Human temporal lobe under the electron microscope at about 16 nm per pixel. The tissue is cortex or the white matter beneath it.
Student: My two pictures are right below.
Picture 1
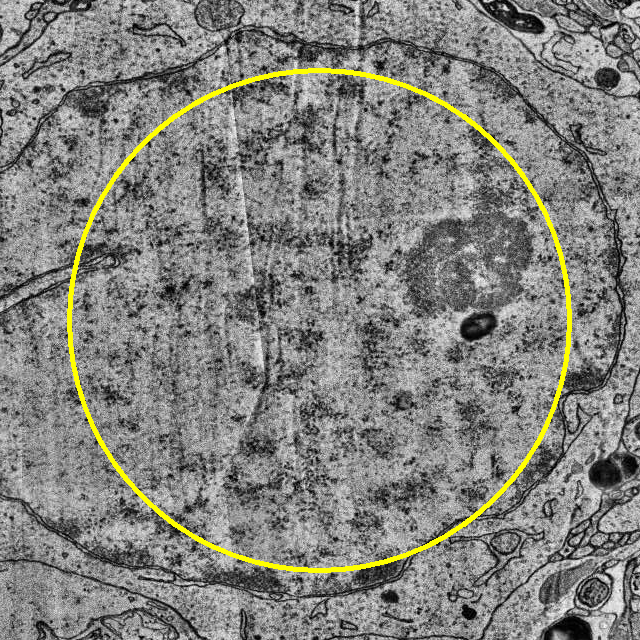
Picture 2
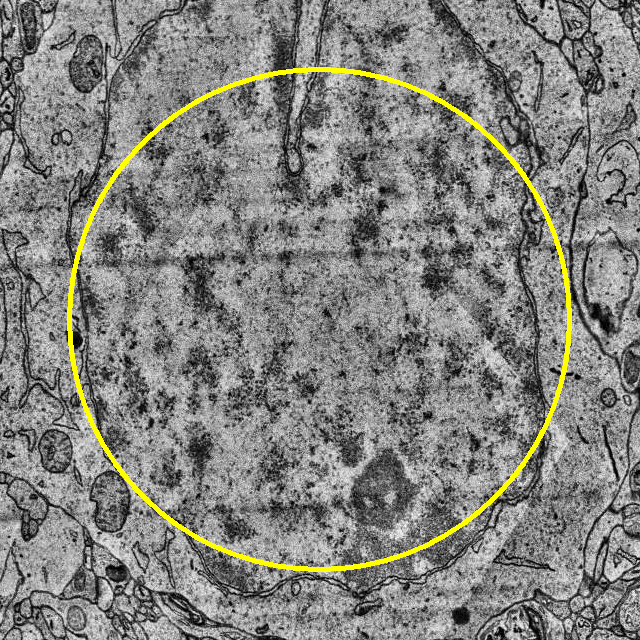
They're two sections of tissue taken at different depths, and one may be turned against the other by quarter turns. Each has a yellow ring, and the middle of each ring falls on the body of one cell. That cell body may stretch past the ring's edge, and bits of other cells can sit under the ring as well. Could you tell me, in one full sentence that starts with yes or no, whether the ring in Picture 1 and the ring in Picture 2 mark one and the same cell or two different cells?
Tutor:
Yes, the same cell turns up inside each of the two rings.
